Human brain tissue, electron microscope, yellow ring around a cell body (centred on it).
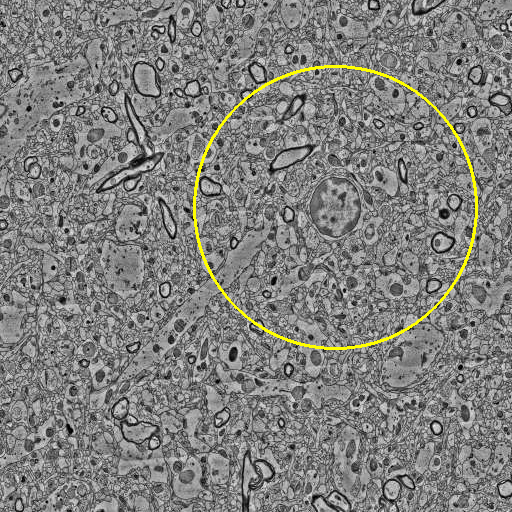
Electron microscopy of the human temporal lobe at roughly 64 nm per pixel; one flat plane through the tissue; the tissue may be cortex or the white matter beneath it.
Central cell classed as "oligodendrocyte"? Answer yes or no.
no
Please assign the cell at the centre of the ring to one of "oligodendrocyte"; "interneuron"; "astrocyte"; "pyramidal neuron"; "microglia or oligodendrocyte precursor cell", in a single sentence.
Instead, the ring surrounds a microglial cell or oligodendrocyte precursor cell in this picture.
